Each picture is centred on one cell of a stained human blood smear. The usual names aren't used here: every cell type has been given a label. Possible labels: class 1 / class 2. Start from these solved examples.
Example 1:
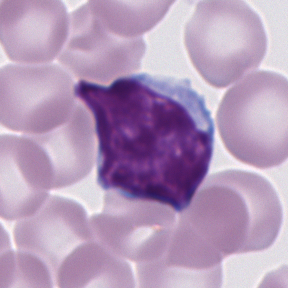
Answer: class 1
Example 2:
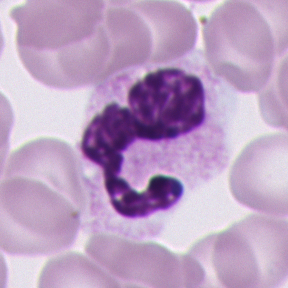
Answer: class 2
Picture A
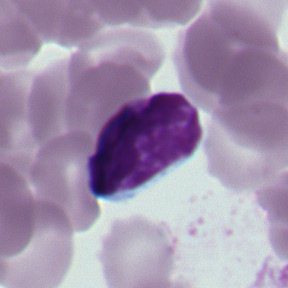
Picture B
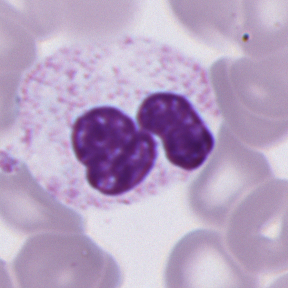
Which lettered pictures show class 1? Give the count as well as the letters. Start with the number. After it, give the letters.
Count: 1 (A)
